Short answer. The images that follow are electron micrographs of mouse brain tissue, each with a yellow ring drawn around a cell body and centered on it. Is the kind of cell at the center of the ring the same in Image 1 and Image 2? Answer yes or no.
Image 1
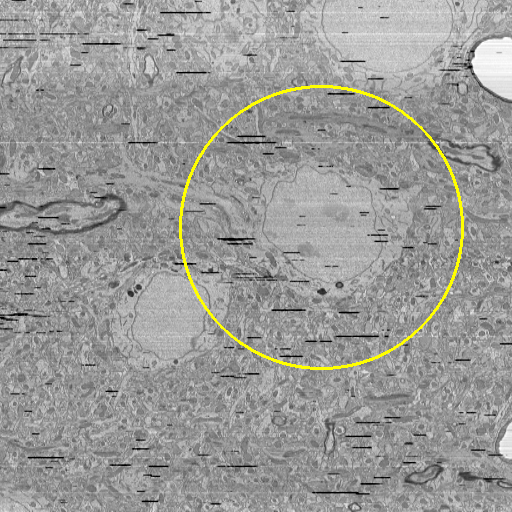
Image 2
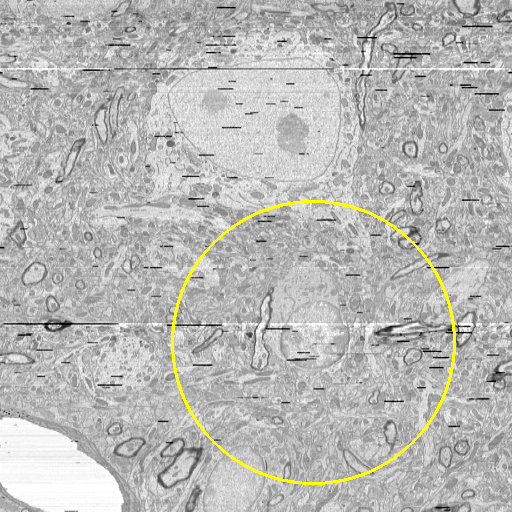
no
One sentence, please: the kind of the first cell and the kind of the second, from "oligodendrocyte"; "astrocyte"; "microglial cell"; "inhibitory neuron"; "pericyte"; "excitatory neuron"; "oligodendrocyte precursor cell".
The ring in the first picture surrounds an excitatory neuron, and the ring in the second surrounds an oligodendrocyte.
